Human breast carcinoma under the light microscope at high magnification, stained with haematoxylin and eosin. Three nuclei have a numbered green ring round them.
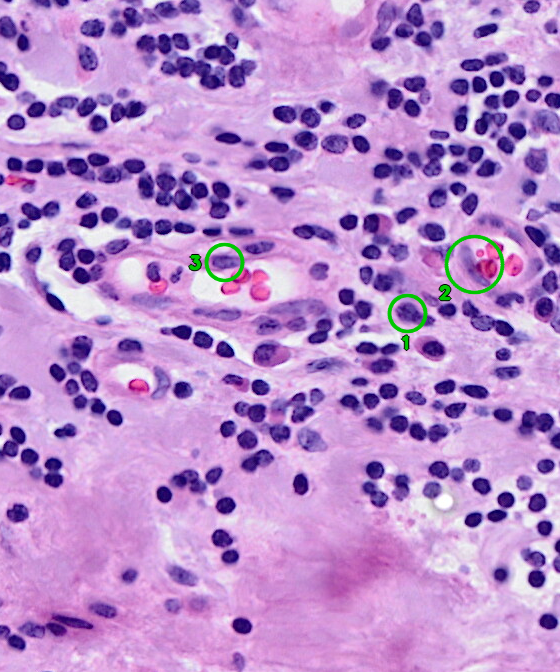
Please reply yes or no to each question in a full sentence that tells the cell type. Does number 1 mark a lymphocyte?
Yes, regarding cell number 1, it is a lymphocyte.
